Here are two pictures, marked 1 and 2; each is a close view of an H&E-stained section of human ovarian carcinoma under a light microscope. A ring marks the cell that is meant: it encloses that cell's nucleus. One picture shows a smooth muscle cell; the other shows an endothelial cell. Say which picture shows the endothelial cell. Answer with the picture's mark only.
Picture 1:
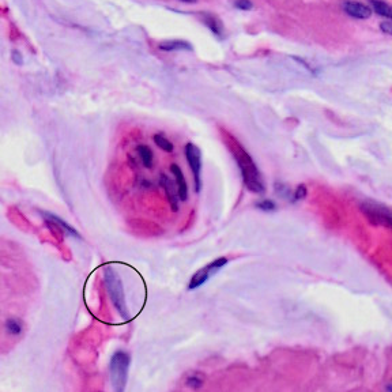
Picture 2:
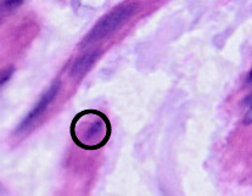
1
